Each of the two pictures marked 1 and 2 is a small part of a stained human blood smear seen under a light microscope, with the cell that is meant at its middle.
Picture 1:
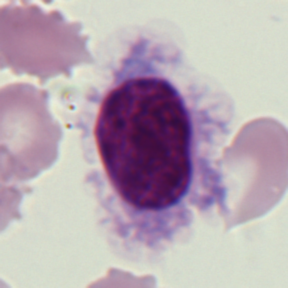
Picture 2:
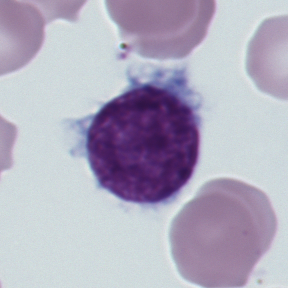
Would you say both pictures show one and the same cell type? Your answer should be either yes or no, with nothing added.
yes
